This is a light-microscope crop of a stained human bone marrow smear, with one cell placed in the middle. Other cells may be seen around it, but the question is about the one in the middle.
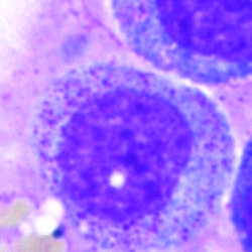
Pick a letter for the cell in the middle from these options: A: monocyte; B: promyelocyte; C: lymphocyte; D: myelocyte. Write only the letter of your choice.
D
